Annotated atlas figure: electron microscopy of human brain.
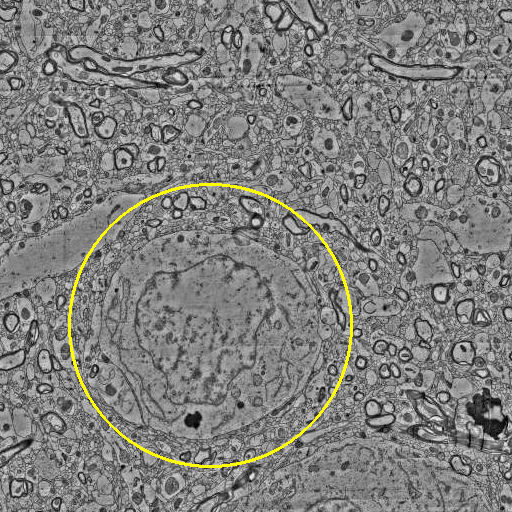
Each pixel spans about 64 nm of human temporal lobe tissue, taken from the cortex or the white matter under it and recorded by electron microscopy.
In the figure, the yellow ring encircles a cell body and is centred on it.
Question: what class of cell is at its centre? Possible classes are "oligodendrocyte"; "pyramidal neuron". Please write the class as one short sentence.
The yellow ring is drawn around a pyramidal neuron.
